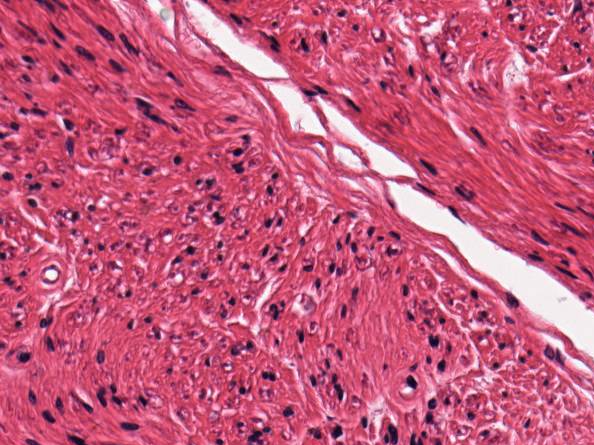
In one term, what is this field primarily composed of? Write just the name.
nerve fascicle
